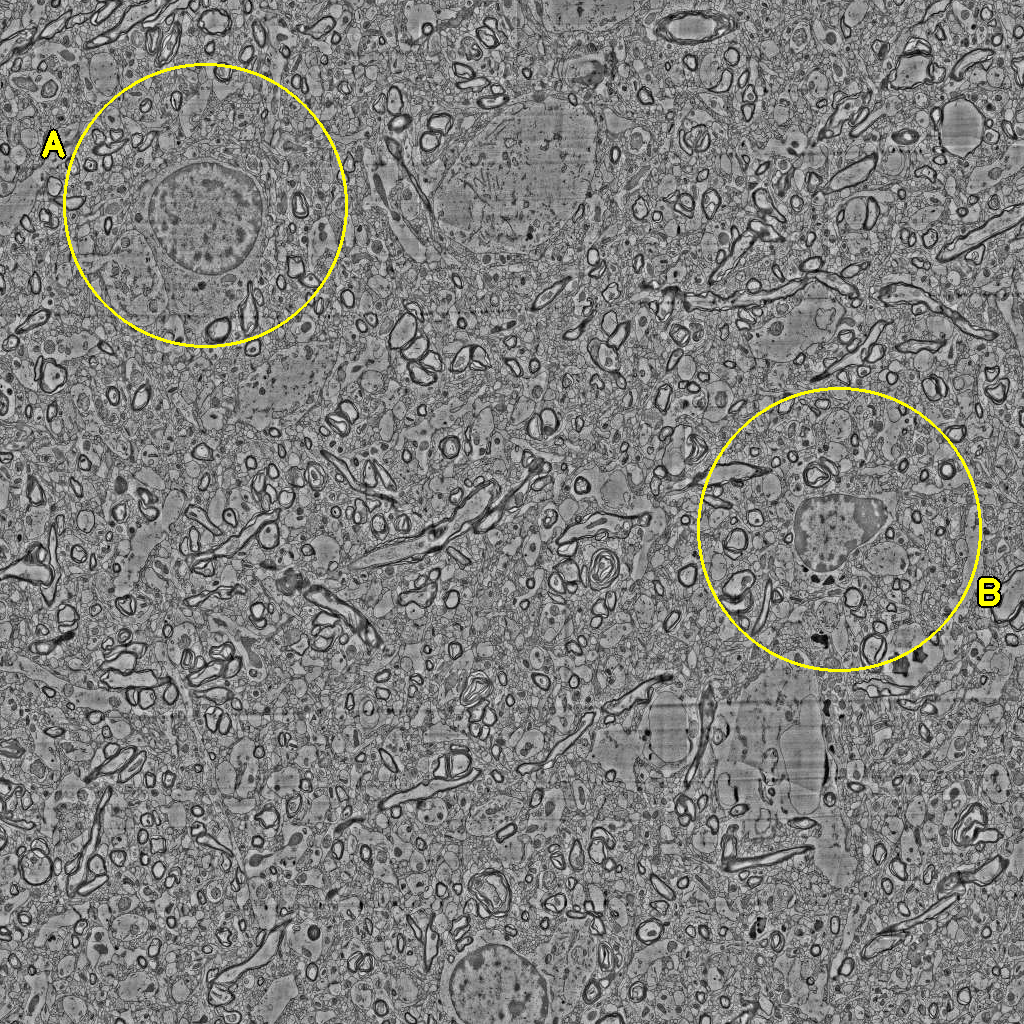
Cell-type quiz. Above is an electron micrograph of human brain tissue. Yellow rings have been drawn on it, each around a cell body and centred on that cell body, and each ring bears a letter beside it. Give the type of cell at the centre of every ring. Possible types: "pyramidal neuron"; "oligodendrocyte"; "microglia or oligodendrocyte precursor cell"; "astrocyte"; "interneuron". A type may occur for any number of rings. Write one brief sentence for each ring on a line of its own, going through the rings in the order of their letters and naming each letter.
Ring A is centred on the cell body of an oligodendrocyte.
Ring B is centred on the cell body of a microglial cell or oligodendrocyte precursor cell.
